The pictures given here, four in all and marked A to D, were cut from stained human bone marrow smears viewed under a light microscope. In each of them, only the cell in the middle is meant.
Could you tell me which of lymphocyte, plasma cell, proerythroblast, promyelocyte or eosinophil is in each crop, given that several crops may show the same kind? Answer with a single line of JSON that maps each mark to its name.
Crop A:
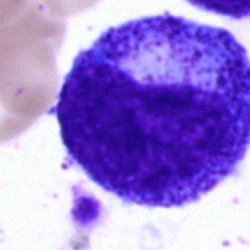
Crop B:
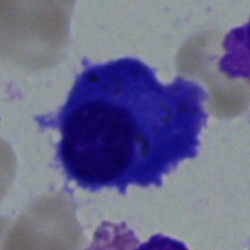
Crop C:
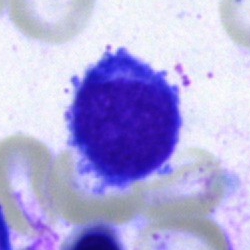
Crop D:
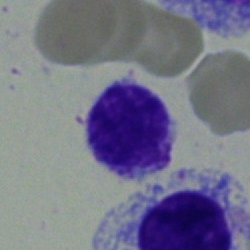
{"A": "promyelocyte", "B": "plasma cell", "C": "lymphocyte", "D": "lymphocyte"}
